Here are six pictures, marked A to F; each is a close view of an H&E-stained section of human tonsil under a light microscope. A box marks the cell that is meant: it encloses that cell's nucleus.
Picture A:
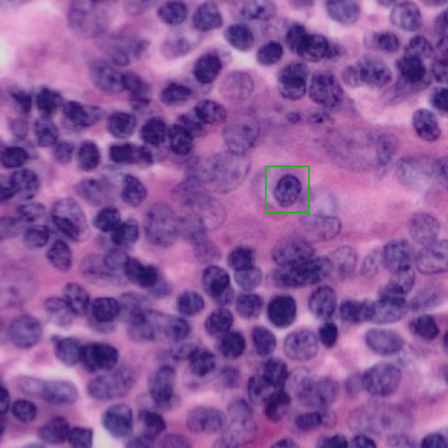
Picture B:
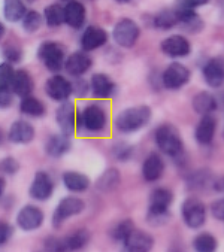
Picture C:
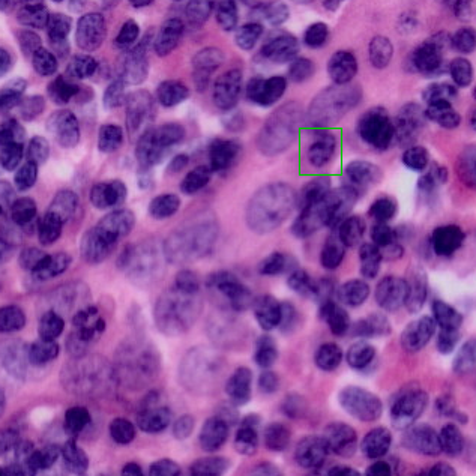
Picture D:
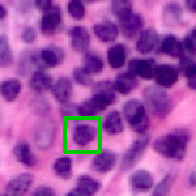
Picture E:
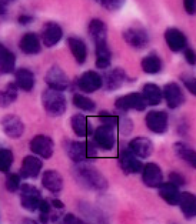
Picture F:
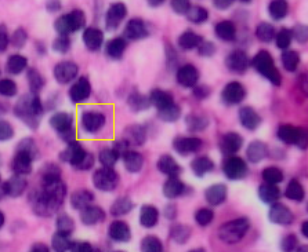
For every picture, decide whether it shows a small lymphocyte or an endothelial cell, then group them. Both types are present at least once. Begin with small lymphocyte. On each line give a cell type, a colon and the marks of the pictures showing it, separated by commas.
small lymphocyte: B, D, E, F
endothelial cell: A, C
